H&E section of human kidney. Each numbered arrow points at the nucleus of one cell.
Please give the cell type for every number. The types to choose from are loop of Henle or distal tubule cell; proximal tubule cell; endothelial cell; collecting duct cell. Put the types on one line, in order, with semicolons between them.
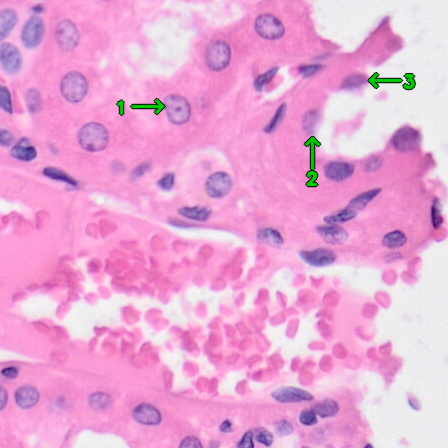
proximal tubule cell; loop of Henle or distal tubule cell; loop of Henle or distal tubule cell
